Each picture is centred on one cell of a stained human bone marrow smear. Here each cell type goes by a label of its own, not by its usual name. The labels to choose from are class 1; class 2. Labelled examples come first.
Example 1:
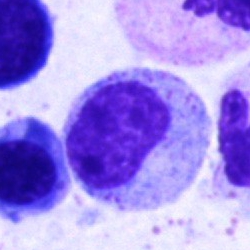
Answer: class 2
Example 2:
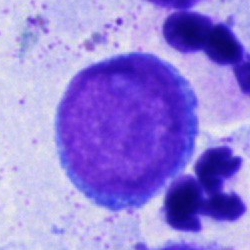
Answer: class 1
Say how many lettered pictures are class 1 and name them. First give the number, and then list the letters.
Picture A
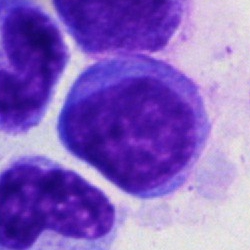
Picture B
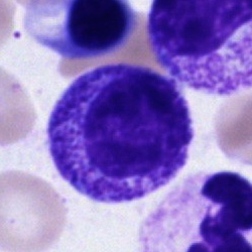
1, namely A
